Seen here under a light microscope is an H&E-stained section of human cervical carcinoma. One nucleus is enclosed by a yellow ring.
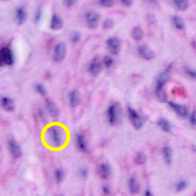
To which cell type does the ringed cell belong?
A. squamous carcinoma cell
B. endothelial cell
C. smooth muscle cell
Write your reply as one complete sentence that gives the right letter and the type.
The choice that fits is option C, as the ringed cell is a smooth muscle cell.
